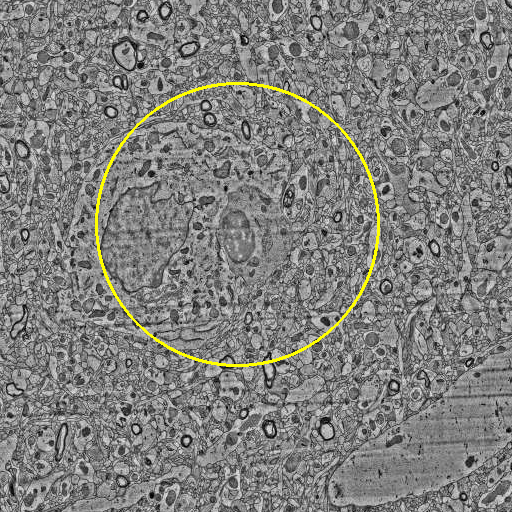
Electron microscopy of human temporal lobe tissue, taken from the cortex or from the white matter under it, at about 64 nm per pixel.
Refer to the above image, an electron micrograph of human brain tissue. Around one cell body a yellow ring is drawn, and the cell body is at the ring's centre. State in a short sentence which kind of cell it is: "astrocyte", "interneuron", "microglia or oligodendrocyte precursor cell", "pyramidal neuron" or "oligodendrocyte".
The centre of the ring falls on an oligodendrocyte.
